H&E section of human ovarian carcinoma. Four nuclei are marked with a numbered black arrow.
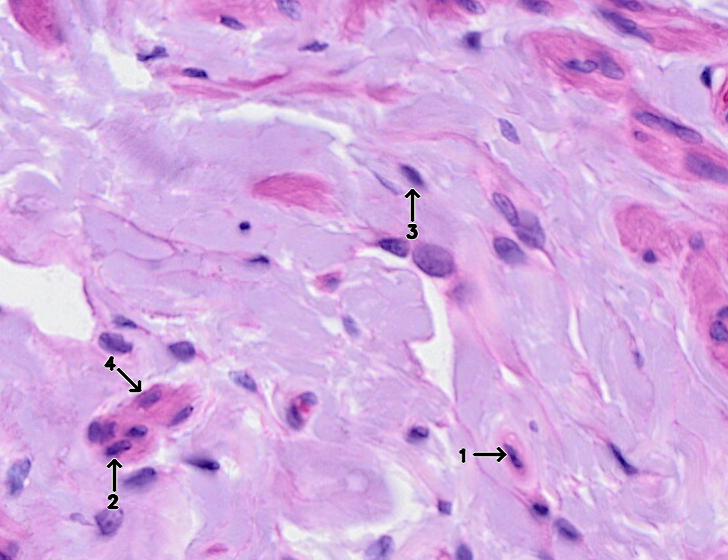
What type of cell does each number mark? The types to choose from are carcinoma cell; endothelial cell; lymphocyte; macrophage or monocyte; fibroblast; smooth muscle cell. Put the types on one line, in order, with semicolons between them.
endothelial cell; smooth muscle cell; fibroblast; smooth muscle cell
